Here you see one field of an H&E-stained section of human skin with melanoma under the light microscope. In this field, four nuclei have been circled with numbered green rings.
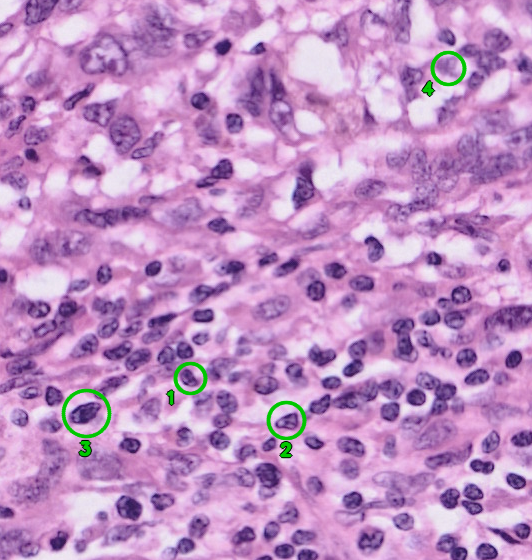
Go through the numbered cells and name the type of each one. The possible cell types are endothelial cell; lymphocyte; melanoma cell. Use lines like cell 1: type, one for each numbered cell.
cell 1: lymphocyte
cell 2: lymphocyte
cell 3: lymphocyte
cell 4: melanoma cell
